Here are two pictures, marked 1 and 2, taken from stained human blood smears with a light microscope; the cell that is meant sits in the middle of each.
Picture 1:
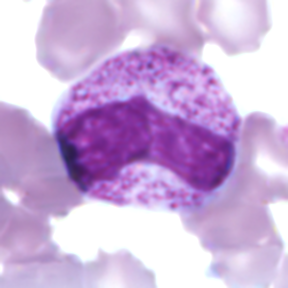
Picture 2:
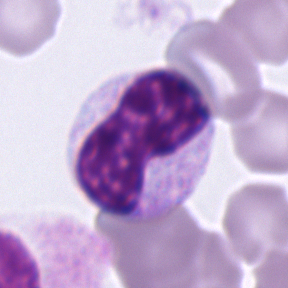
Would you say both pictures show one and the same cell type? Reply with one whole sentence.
Yes, both are band neutrophils.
